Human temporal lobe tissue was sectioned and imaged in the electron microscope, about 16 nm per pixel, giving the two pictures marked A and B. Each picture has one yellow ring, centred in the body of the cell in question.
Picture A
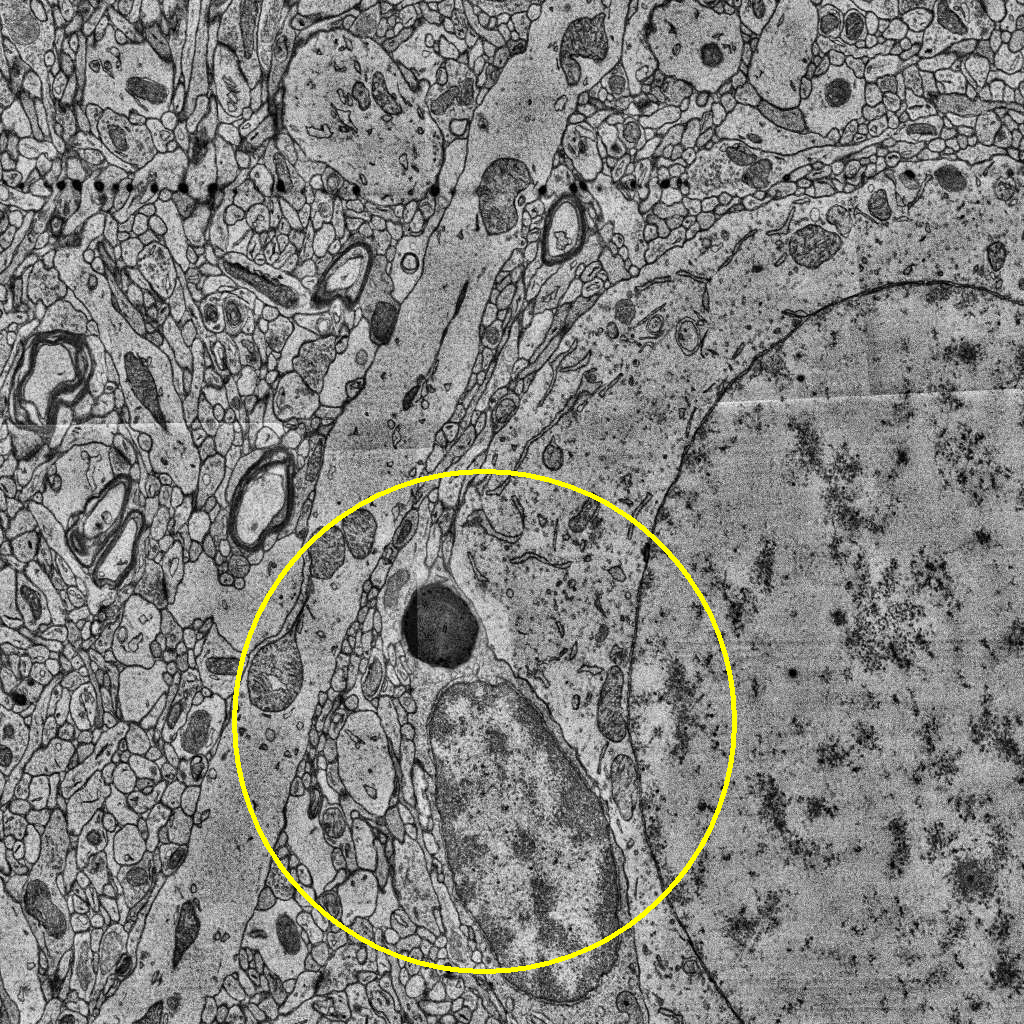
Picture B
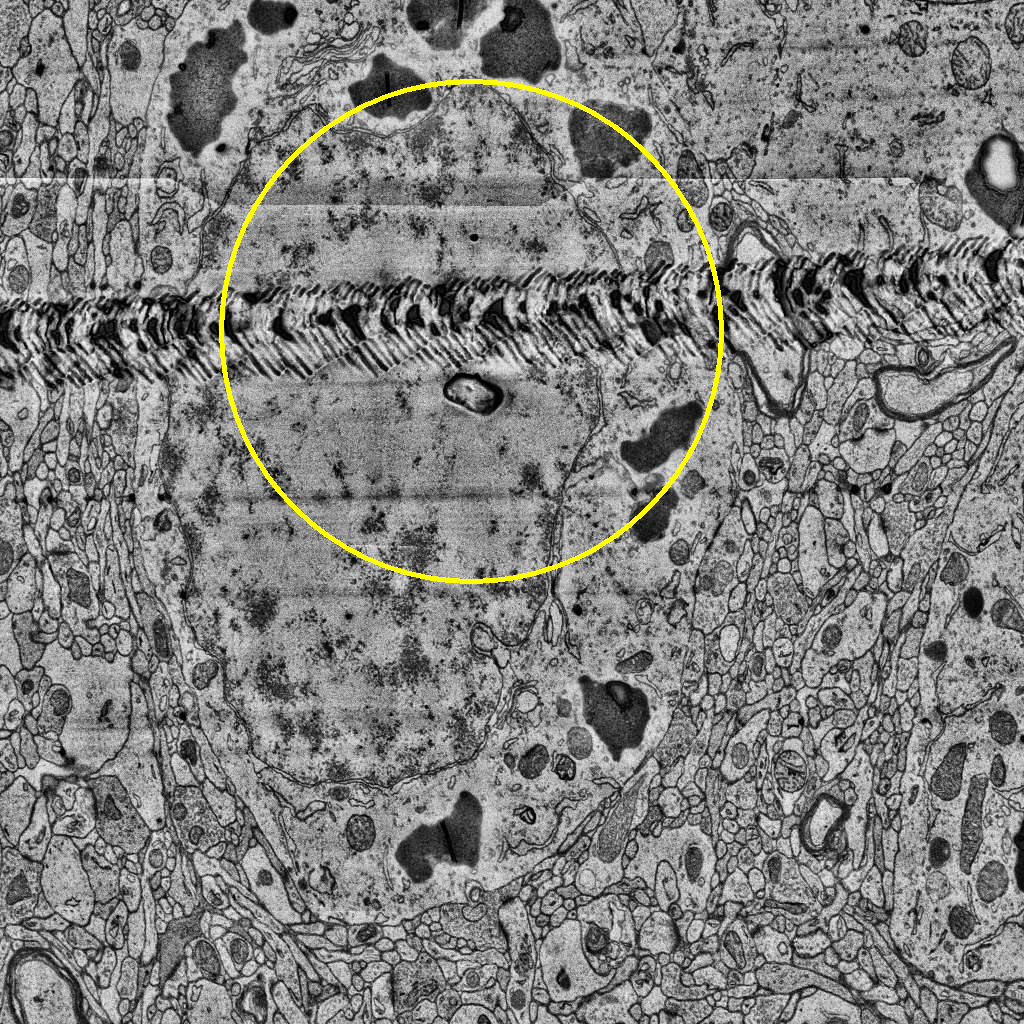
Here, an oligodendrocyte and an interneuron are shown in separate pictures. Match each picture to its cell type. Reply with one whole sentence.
The cell in picture A is an oligodendrocyte, and the one in picture B is an interneuron.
